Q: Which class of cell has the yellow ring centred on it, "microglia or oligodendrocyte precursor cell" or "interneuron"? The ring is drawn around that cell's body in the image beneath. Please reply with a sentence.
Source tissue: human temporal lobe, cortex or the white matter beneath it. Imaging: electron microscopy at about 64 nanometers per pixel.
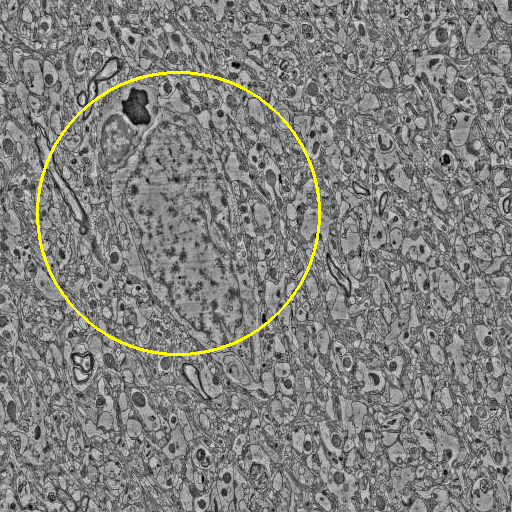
It is centred on an interneuron.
